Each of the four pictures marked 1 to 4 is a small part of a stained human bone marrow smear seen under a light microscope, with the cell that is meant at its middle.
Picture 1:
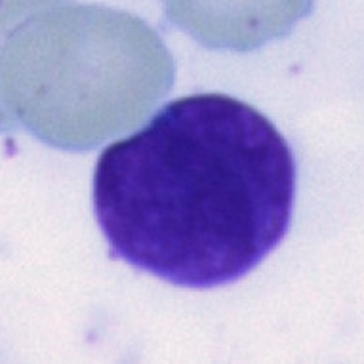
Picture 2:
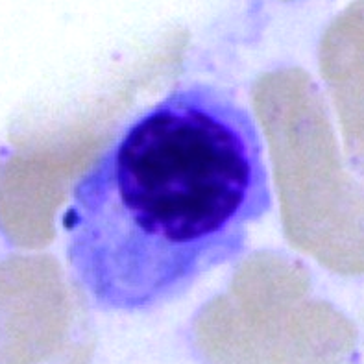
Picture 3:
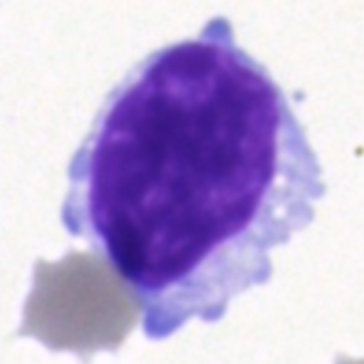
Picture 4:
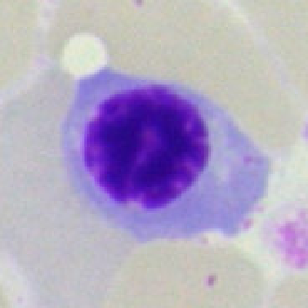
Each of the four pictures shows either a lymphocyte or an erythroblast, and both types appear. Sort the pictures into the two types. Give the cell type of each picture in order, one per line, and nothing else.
lymphocyte
erythroblast
lymphocyte
erythroblast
